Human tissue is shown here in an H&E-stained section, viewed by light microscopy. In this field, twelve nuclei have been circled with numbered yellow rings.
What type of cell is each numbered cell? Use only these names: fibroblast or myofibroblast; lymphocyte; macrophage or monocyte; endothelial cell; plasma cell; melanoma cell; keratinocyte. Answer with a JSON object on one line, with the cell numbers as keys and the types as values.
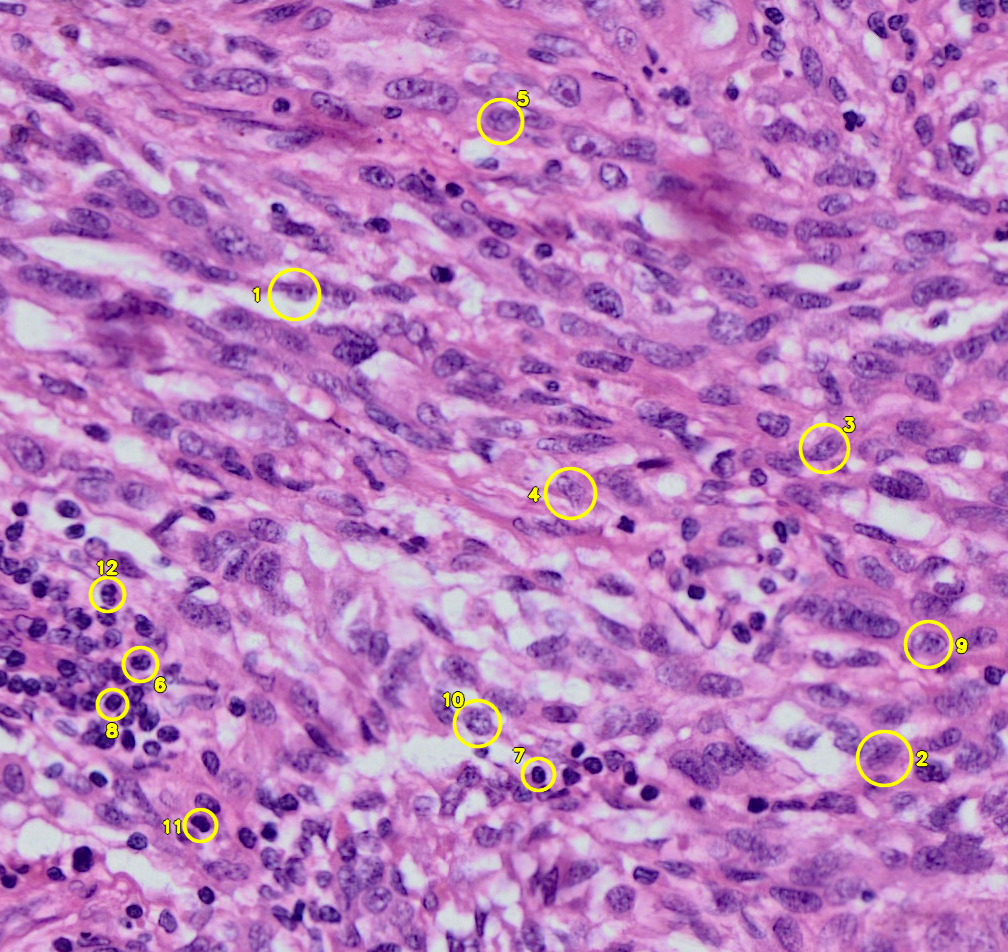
{"1": "melanoma cell", "2": "melanoma cell", "3": "melanoma cell", "4": "melanoma cell", "5": "melanoma cell", "6": "lymphocyte", "7": "lymphocyte", "8": "lymphocyte", "9": "melanoma cell", "10": "melanoma cell", "11": "lymphocyte", "12": "lymphocyte"}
